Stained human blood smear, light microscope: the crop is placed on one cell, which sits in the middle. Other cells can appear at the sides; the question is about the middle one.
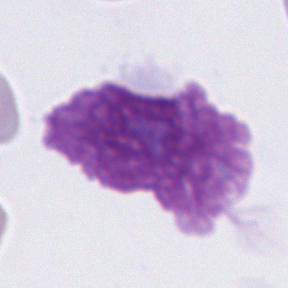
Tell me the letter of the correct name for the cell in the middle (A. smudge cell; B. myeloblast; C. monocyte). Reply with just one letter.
A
